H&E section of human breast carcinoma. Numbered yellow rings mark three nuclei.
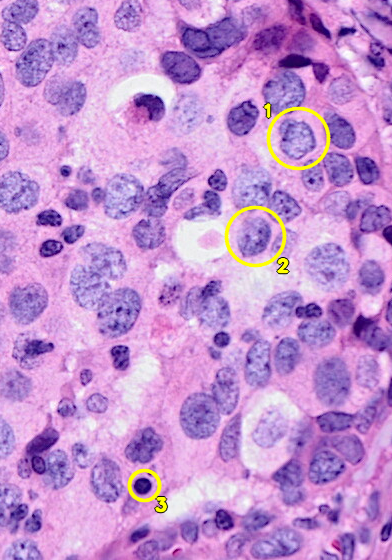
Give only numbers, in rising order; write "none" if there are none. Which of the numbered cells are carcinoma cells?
1, 2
